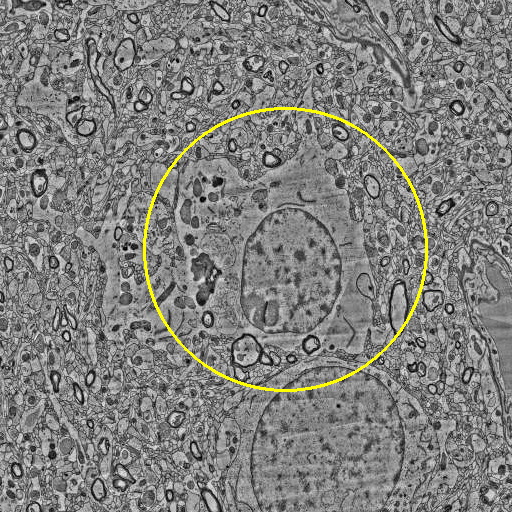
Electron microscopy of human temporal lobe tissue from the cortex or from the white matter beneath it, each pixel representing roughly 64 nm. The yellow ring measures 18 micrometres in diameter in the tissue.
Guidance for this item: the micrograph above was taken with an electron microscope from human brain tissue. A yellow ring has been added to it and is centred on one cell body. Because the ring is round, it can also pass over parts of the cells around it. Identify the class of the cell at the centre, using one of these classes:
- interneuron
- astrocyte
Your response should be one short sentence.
The ring surrounds the body of an astrocyte.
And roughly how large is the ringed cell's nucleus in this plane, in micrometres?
The nucleus works out at approximately 8 by 6 micrometres in this plane.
